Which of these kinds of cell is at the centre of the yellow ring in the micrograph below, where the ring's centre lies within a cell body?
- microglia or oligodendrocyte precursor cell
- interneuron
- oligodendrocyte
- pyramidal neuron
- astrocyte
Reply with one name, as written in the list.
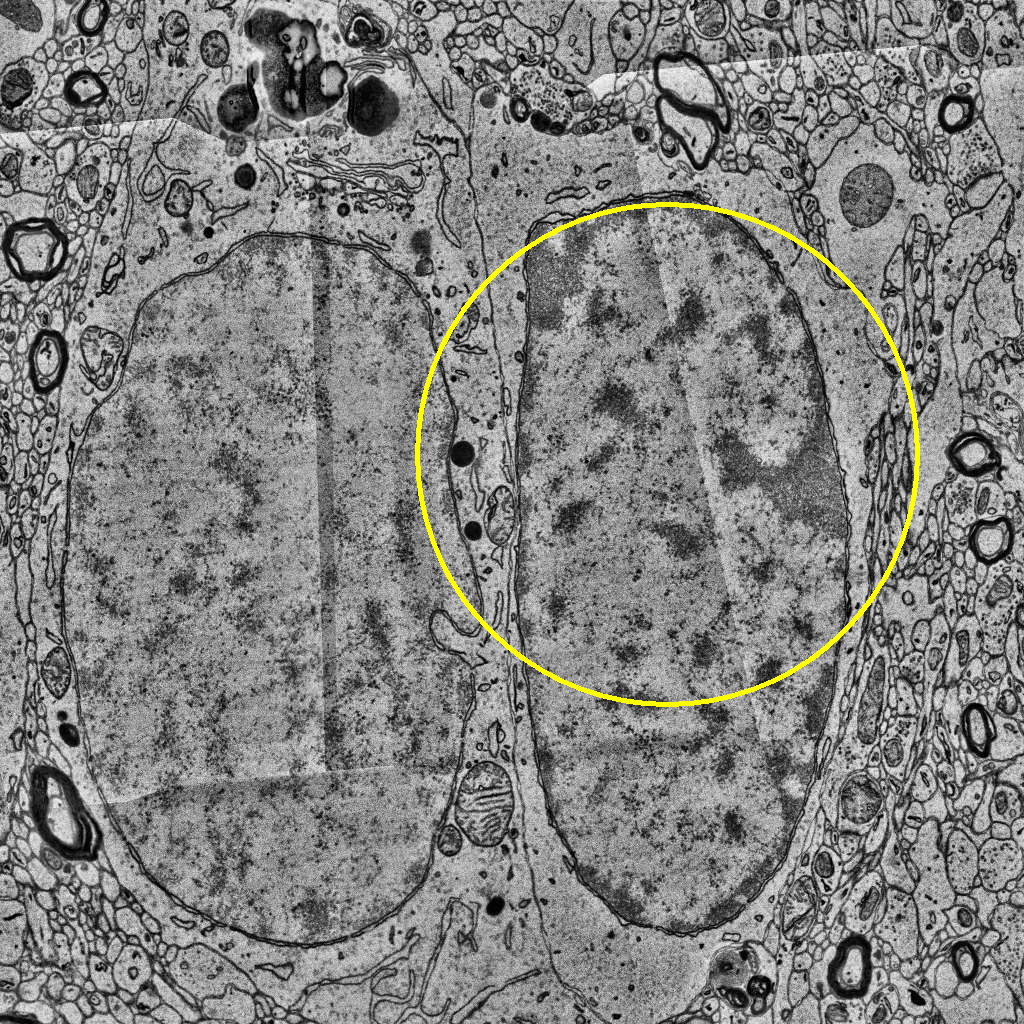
microglia or oligodendrocyte precursor cell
